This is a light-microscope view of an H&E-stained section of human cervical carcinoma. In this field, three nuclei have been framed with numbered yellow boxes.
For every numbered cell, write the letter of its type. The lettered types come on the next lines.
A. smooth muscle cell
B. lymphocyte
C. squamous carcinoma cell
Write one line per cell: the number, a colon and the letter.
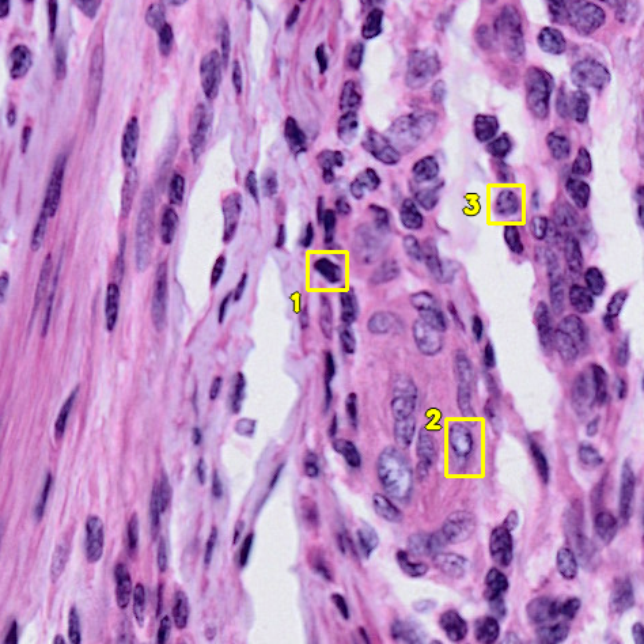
1: B
2: A
3: B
